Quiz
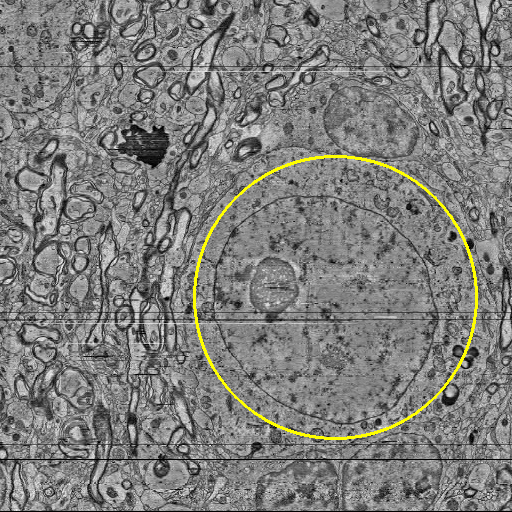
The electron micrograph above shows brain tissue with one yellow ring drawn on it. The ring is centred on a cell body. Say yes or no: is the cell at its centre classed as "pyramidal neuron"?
yes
